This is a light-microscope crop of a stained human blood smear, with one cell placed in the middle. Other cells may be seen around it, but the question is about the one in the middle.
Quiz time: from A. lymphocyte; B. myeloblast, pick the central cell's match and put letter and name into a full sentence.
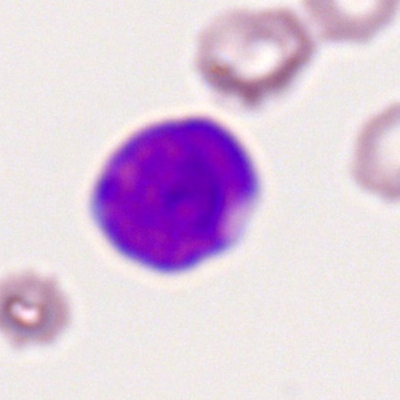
In this crop the central cell is a myeloblast, which option B correctly states.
